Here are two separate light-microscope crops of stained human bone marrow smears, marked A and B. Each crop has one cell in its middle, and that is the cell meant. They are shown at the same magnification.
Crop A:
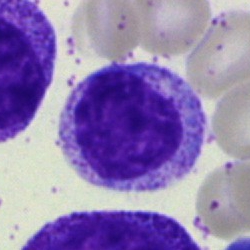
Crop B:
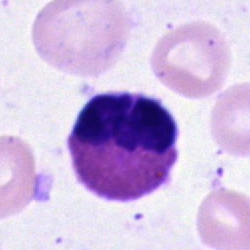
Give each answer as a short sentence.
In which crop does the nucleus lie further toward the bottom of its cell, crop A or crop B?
Seen within its cell, the nucleus in crop A lies further toward the bottom.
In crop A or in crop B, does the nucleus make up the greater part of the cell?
In crop A the nucleus takes up the larger part of its cell.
